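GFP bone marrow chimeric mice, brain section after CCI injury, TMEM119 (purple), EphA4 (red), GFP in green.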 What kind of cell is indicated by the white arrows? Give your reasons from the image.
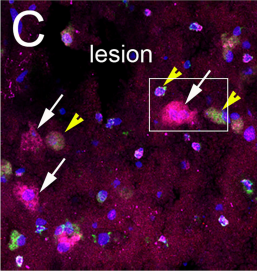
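The white arrows point to large rounded cells that are purple and red but not green. The marked cells lack long branching processes.
Conclusion: amoeboid-resident microglia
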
